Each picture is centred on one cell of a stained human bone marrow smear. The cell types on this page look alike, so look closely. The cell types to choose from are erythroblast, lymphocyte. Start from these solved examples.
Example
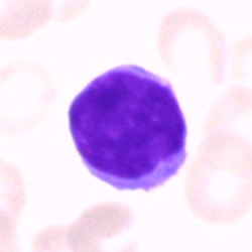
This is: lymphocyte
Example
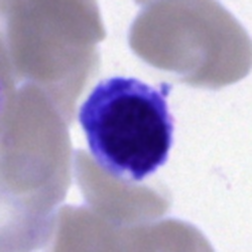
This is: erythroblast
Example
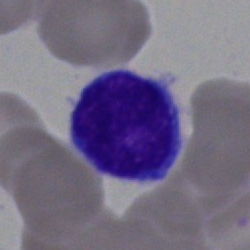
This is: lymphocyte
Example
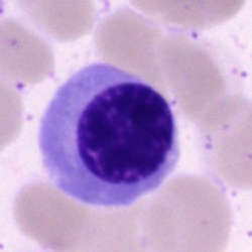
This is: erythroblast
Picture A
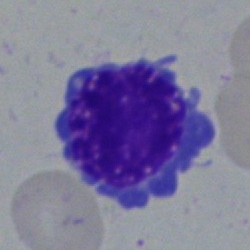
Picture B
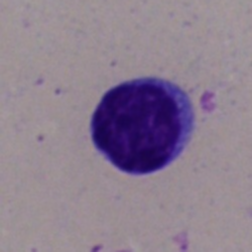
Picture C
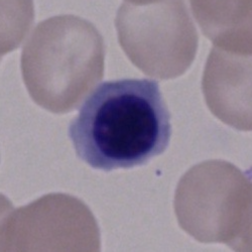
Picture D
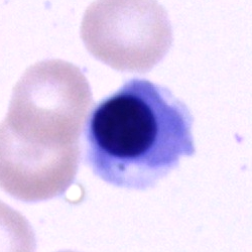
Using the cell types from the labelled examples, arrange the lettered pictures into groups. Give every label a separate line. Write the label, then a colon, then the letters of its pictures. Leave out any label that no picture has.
erythroblast: A, C, D
lymphocyte: B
